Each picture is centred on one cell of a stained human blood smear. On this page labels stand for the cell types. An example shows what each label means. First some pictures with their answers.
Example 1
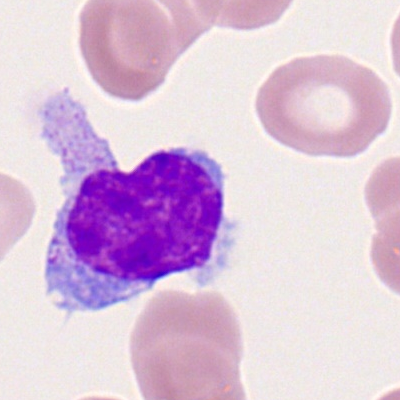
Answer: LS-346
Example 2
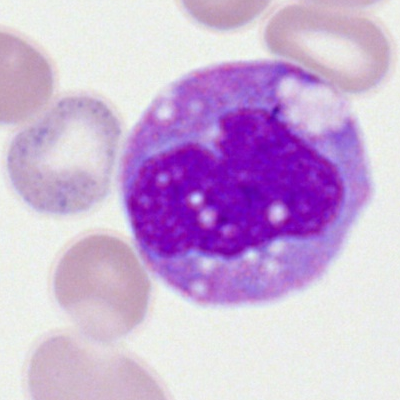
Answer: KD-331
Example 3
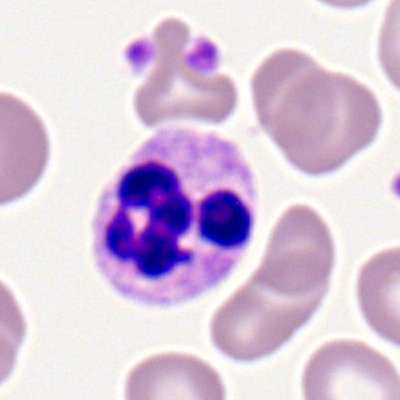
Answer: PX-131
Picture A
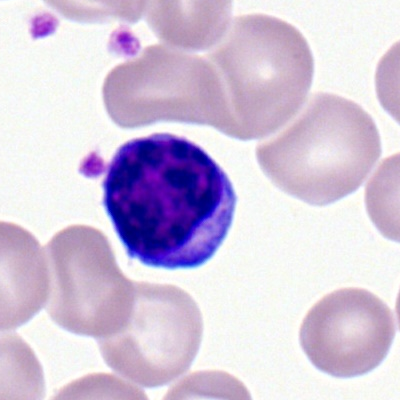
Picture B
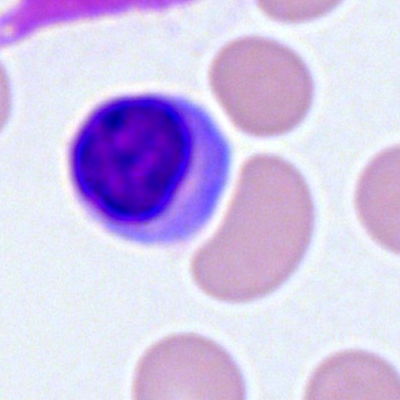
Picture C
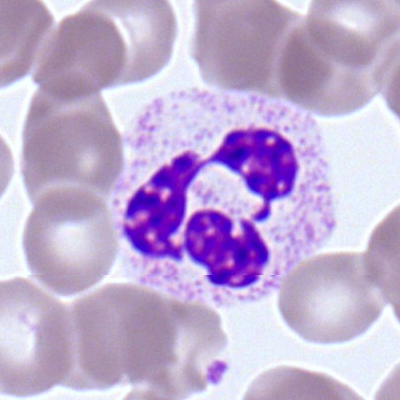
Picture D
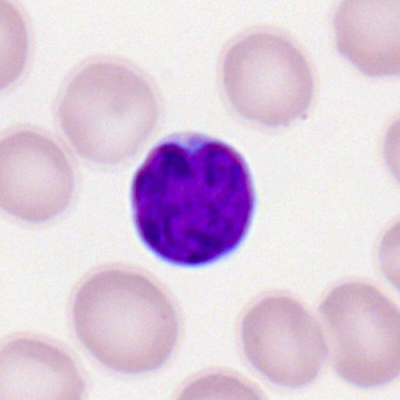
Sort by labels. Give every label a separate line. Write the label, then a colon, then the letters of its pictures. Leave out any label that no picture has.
LS-346: A, B, D
PX-131: C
